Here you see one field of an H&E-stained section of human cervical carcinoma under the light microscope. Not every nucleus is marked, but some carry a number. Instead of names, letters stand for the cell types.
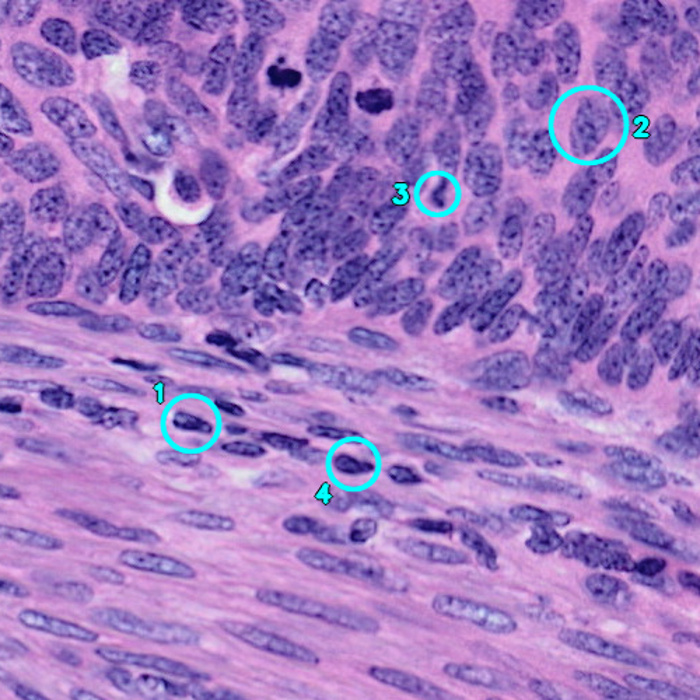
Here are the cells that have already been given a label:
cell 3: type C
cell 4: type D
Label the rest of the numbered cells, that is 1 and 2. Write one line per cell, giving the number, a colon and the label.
1: type D
2: type C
